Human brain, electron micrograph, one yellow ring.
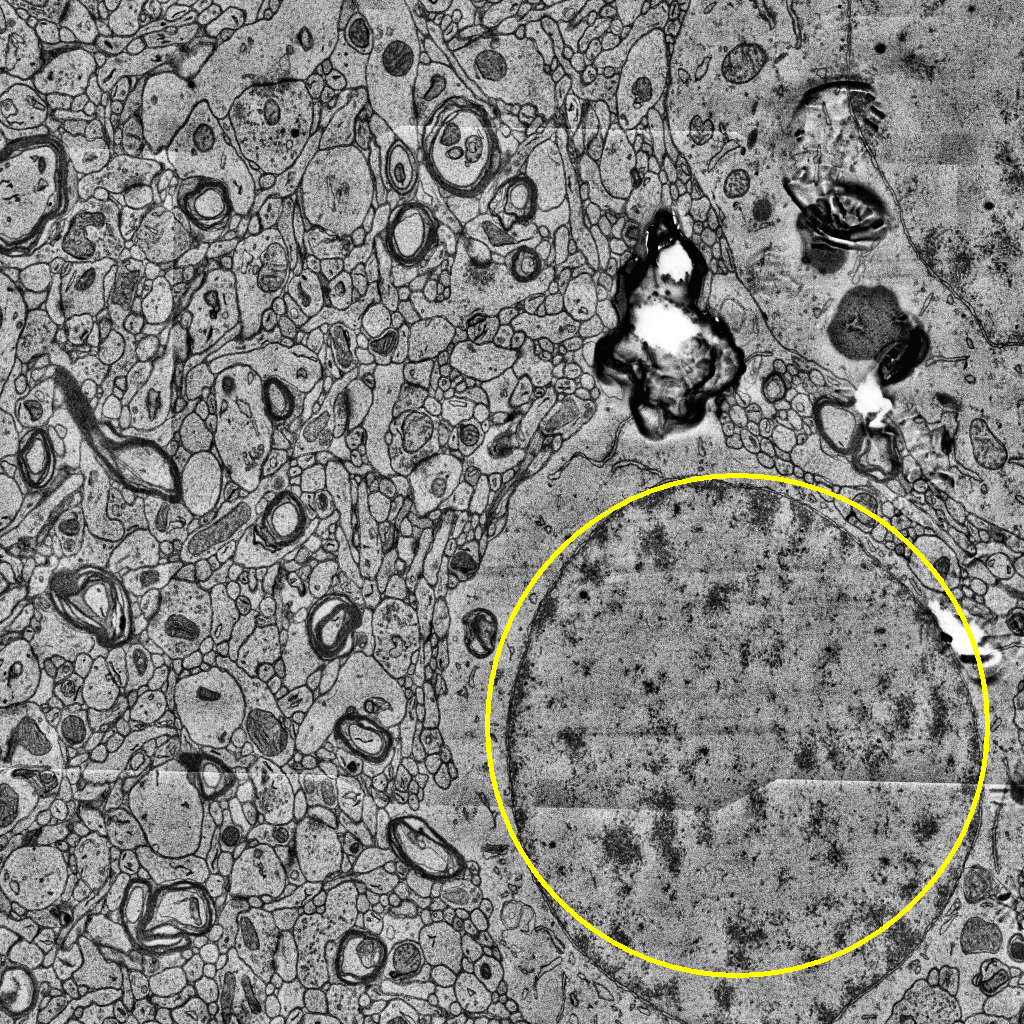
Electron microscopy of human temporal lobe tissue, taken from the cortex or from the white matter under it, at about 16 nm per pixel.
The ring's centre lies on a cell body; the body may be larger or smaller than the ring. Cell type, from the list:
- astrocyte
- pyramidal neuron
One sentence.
The yellow ring's centre lies on an astrocyte.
